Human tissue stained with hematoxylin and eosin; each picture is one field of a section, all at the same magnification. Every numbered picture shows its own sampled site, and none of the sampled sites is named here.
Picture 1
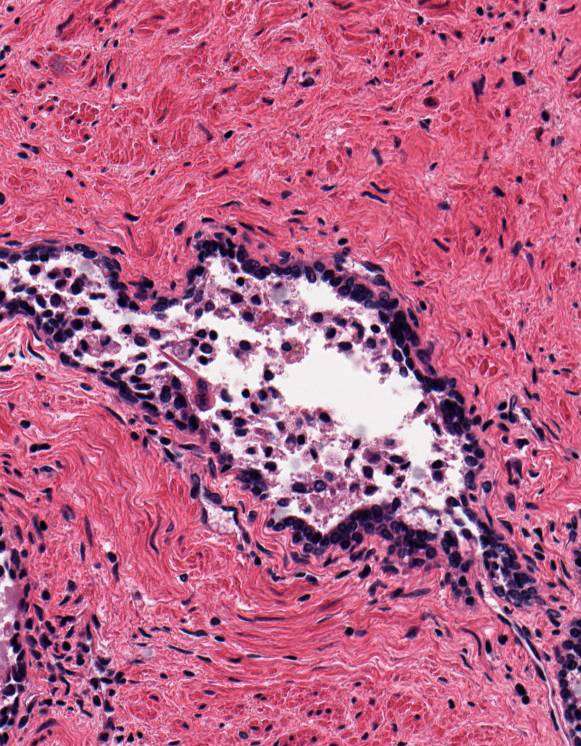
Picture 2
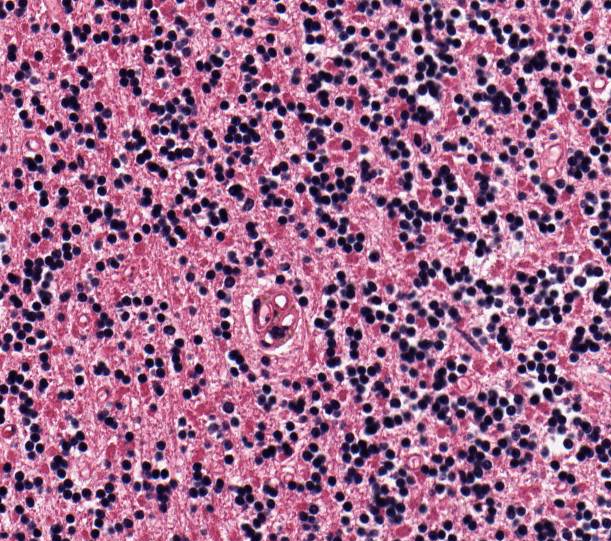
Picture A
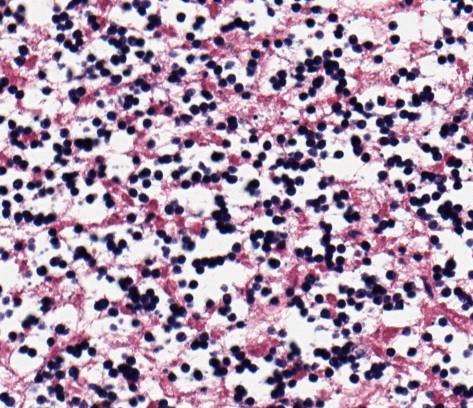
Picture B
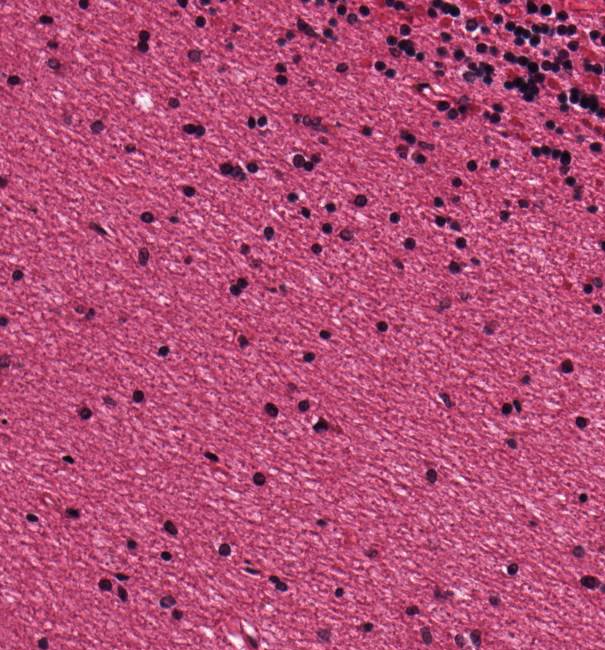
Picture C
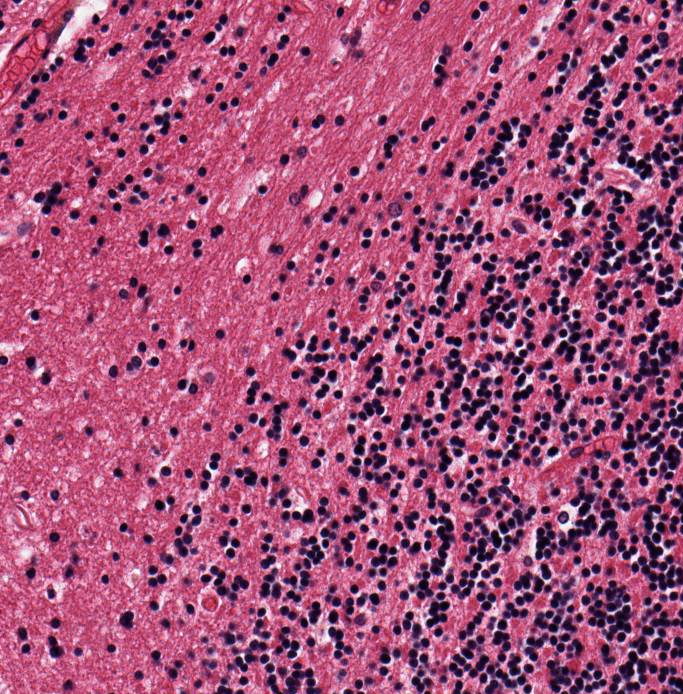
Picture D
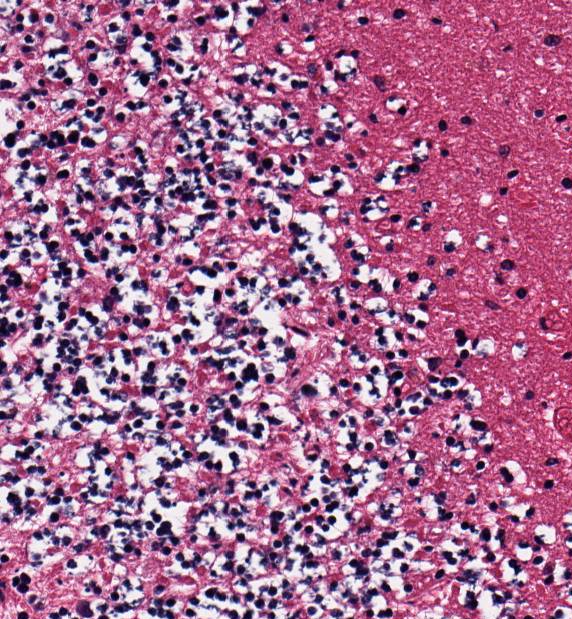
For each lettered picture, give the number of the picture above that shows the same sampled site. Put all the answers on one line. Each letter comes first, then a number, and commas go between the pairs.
A 2, B 2, C 2, D 2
